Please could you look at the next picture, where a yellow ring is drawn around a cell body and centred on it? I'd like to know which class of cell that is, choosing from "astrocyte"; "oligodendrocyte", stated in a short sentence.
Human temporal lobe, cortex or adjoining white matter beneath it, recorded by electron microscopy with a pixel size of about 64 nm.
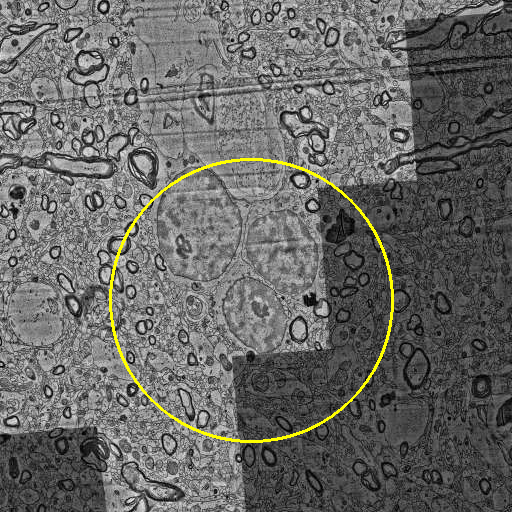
The ring's centre lies on an oligodendrocyte.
